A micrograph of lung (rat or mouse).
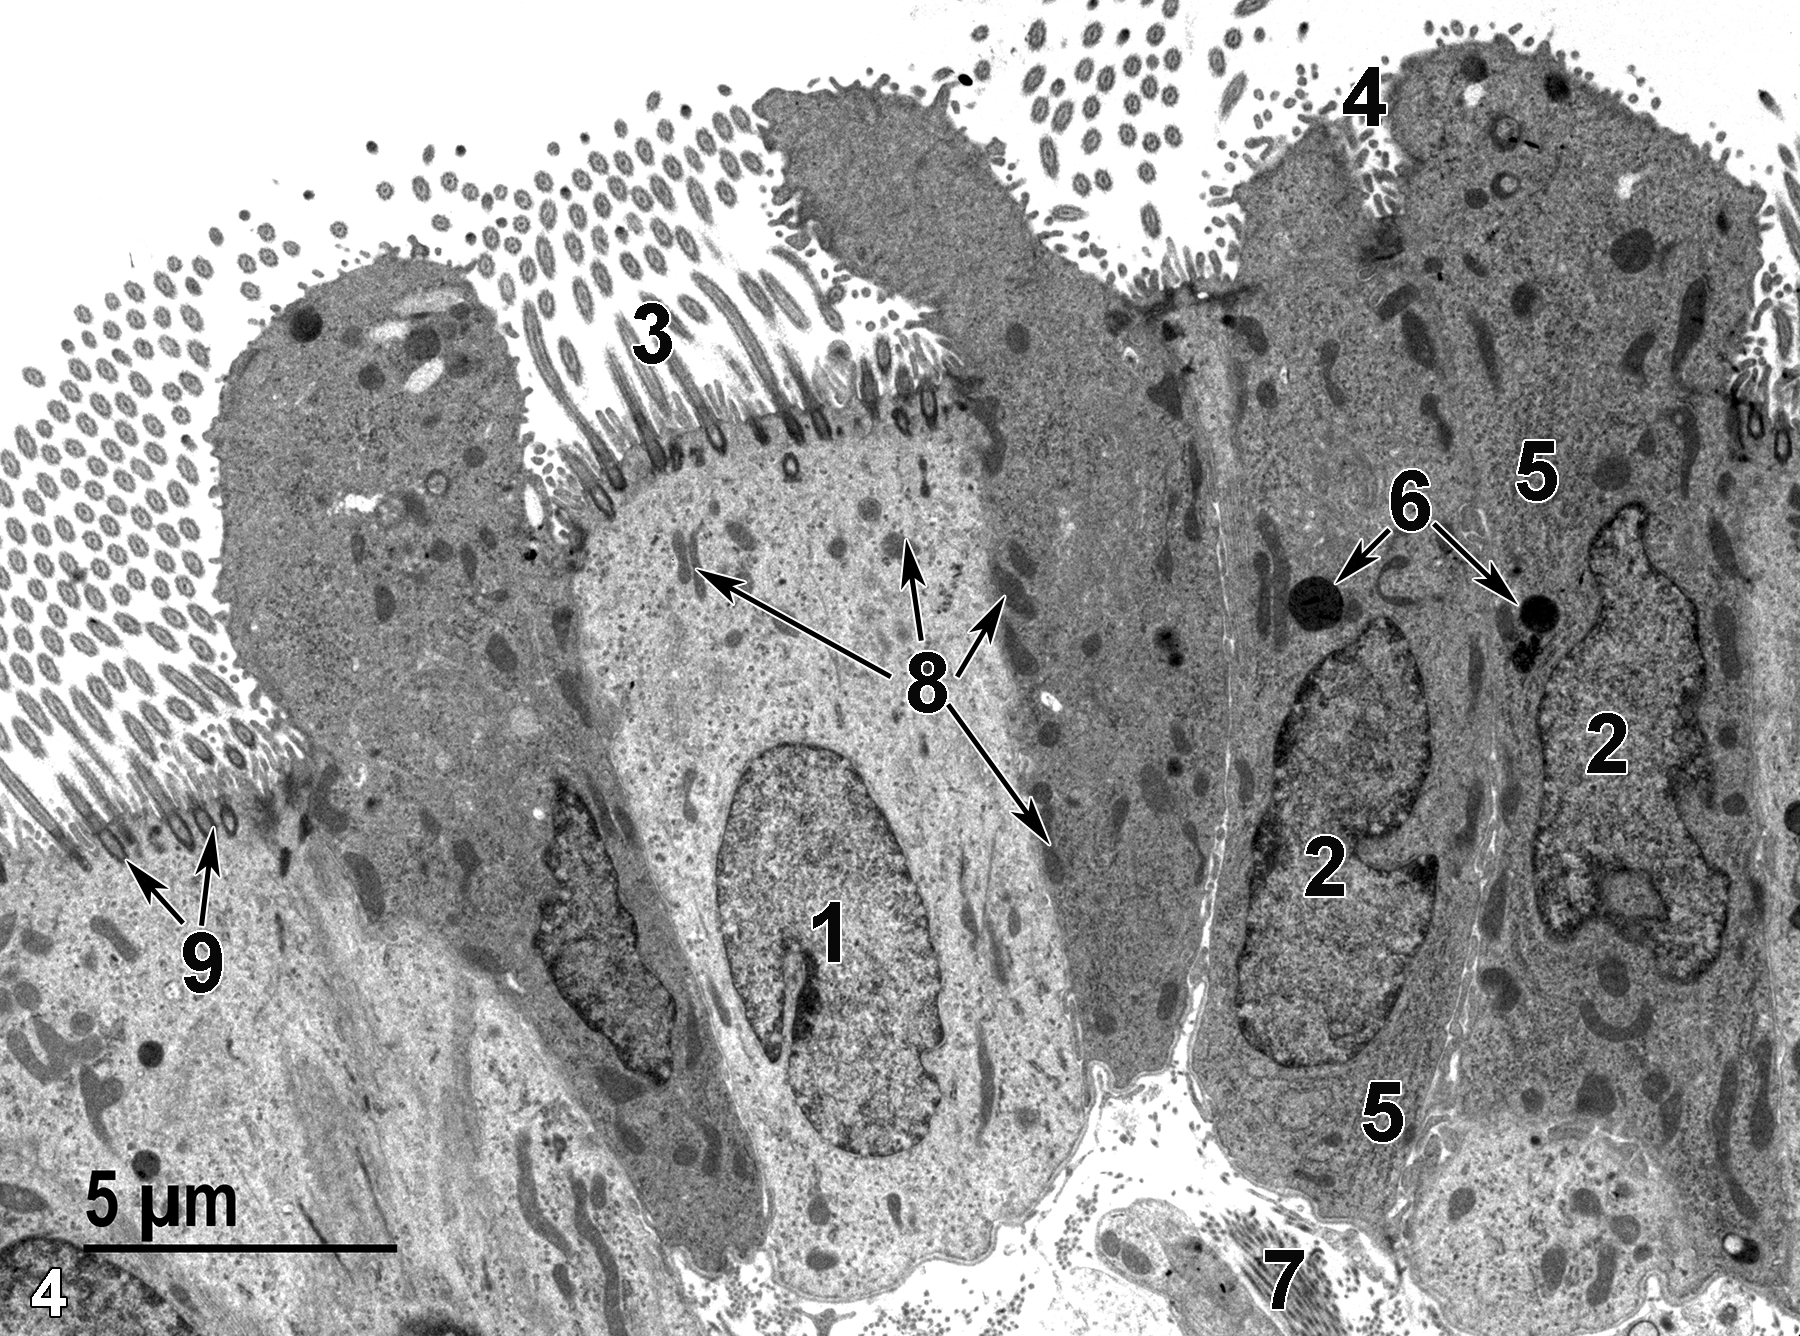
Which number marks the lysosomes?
Number 6.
